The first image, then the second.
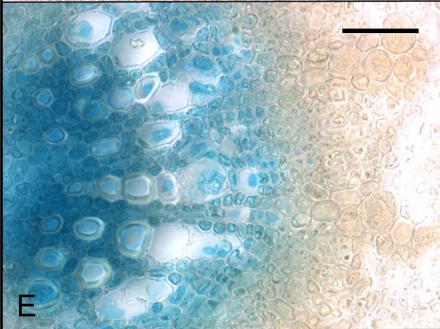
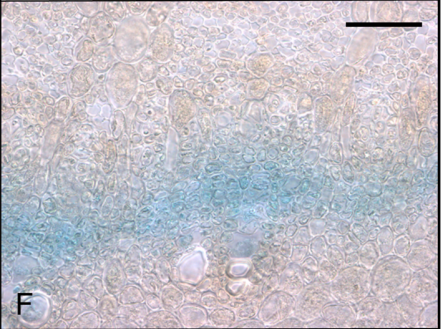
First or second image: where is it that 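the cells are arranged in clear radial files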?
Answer: The first image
